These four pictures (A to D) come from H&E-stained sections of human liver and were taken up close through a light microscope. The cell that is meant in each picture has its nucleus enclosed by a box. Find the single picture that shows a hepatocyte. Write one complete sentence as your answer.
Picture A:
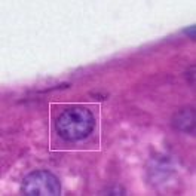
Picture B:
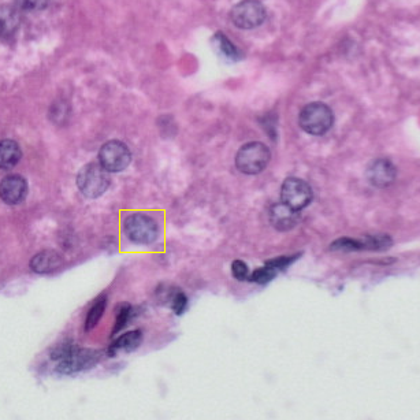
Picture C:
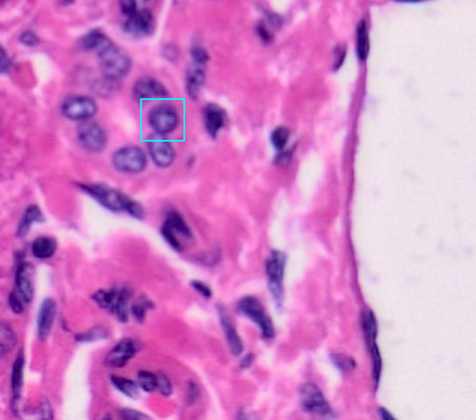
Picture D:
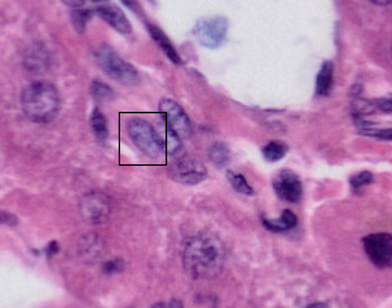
The picture with the hepatocyte is A.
